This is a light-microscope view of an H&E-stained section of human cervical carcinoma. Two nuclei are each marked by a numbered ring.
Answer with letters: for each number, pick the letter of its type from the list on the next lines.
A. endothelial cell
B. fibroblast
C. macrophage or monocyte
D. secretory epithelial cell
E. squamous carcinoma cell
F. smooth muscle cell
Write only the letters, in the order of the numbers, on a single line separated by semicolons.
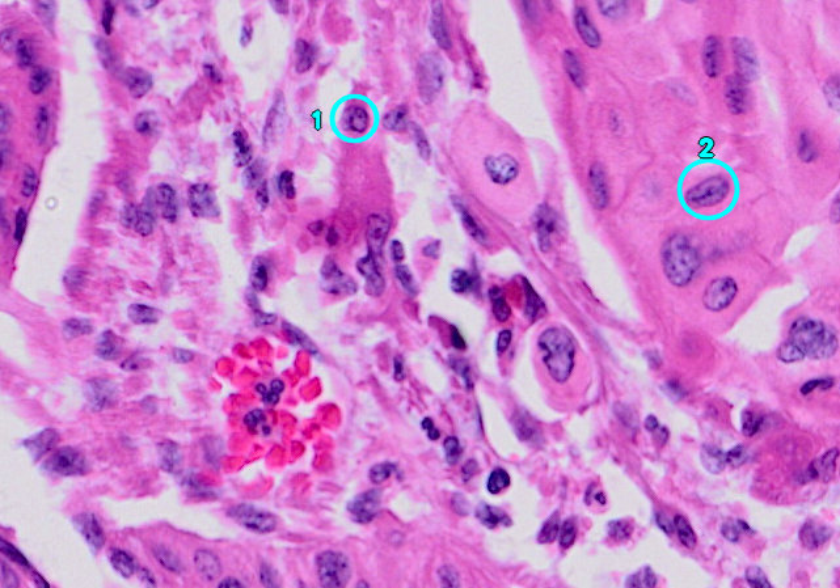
C; E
